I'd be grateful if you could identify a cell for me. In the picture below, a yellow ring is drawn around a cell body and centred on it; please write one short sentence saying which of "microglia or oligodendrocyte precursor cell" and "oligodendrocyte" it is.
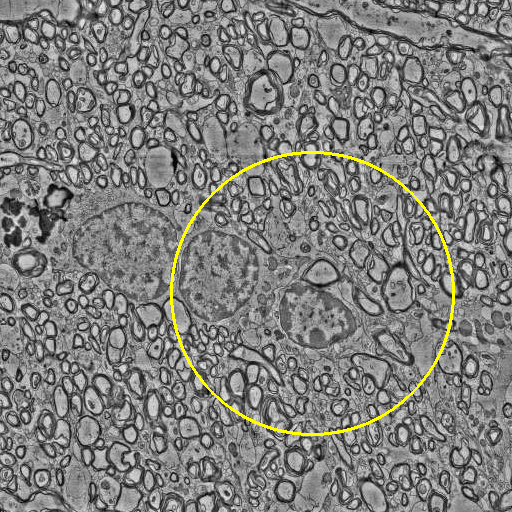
The cell under the ring's centre is a microglial cell or oligodendrocyte precursor cell.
